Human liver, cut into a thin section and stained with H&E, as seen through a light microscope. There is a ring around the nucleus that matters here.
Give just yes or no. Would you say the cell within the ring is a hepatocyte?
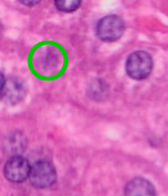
yes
